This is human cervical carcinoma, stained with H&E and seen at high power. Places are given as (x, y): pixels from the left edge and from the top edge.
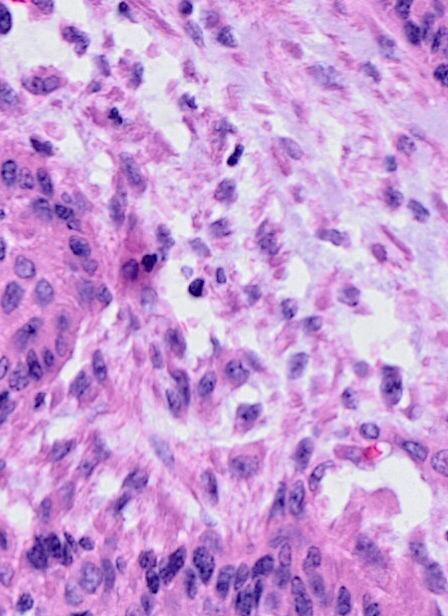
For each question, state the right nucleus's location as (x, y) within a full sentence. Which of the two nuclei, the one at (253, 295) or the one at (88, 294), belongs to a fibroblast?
Answering which nucleus it is: the one at (253, 295), belonging to a fibroblast.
